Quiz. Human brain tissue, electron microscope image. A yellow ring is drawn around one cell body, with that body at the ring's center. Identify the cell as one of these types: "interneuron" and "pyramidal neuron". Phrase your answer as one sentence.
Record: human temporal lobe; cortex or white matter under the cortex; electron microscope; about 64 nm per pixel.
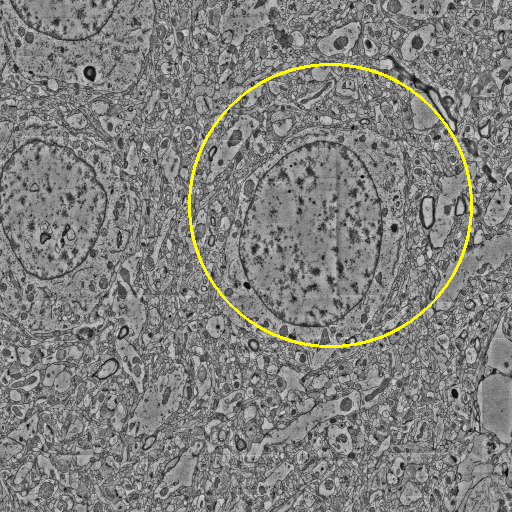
At the center of the ring sits a pyramidal neuron.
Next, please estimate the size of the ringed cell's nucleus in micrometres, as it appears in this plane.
The ringed cell's nucleus measures approximately 12 by 9 micrometres in this plane.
